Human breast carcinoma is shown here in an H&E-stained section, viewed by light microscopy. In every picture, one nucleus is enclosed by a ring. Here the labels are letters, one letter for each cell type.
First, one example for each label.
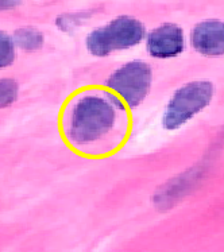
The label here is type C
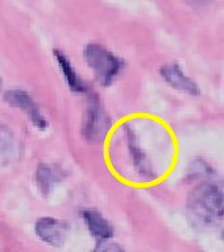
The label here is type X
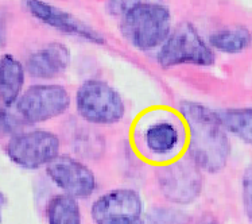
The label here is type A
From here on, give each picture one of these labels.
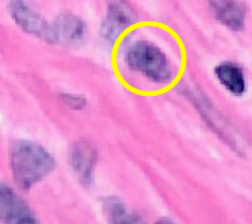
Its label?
type A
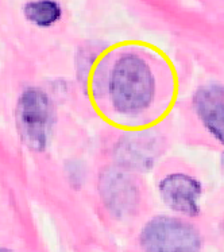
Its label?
type C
